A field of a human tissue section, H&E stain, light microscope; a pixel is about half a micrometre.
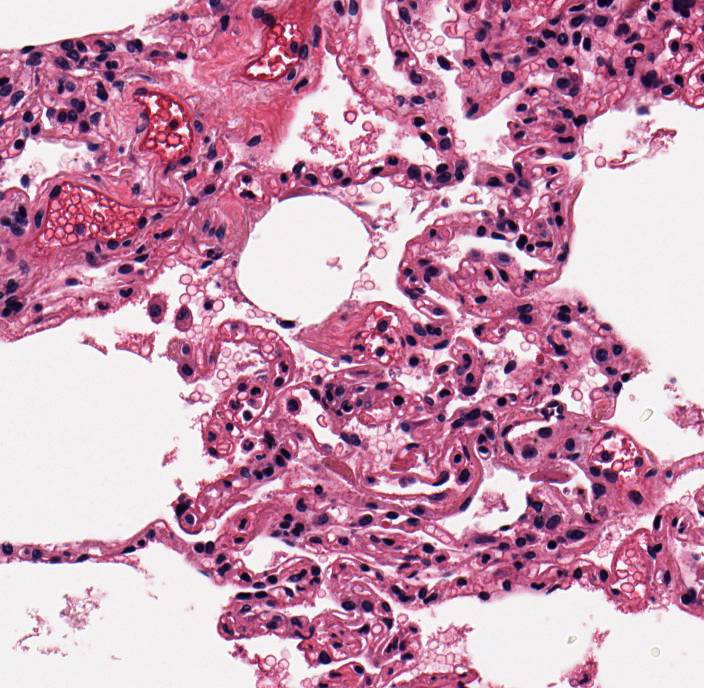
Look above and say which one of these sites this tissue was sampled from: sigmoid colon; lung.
lung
